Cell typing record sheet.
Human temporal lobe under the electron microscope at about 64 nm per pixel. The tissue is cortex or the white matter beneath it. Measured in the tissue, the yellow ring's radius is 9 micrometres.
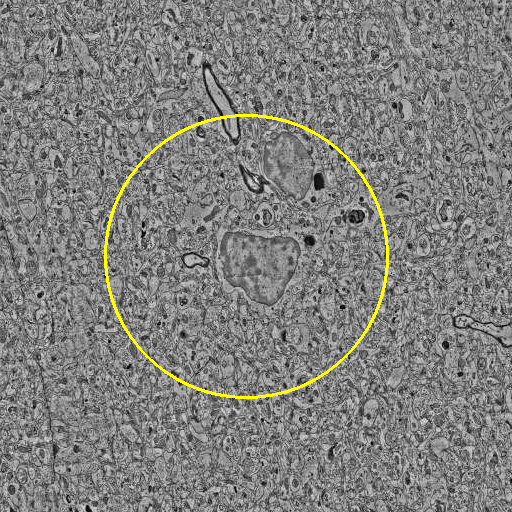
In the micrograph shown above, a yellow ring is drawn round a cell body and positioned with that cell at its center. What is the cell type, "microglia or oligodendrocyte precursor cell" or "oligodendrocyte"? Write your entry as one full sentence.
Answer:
The cell body at the center of the ring belongs to a microglial cell or oligodendrocyte precursor cell.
